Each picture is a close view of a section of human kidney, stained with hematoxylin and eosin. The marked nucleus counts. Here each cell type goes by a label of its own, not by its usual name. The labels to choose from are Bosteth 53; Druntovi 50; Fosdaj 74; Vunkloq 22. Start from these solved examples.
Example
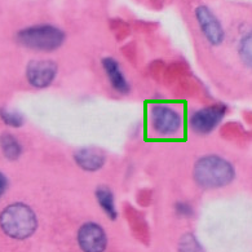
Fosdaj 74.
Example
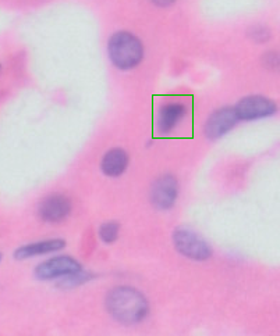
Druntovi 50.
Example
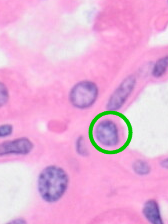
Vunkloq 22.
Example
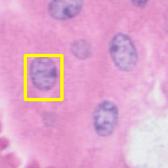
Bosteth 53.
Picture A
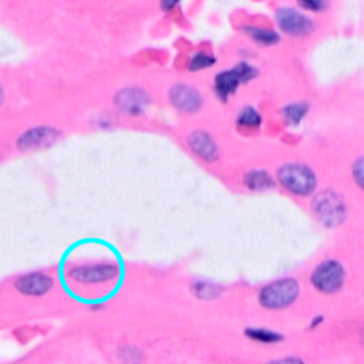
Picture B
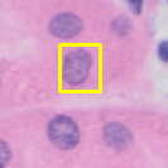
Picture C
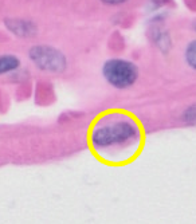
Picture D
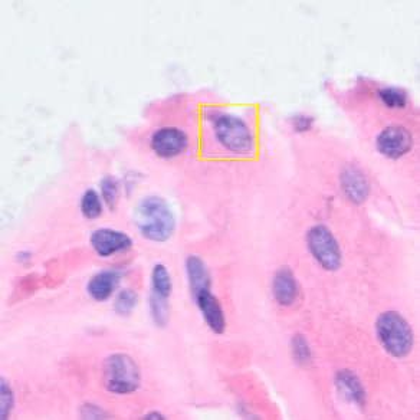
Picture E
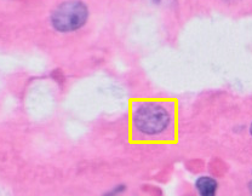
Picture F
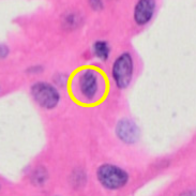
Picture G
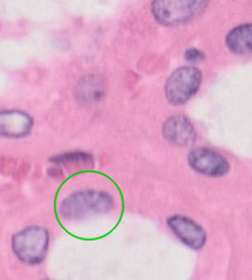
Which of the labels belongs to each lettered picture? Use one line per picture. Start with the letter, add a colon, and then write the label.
A: Fosdaj 74.
B: Bosteth 53.
C: Fosdaj 74.
D: Fosdaj 74.
E: Bosteth 53.
F: Druntovi 50.
G: Fosdaj 74.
